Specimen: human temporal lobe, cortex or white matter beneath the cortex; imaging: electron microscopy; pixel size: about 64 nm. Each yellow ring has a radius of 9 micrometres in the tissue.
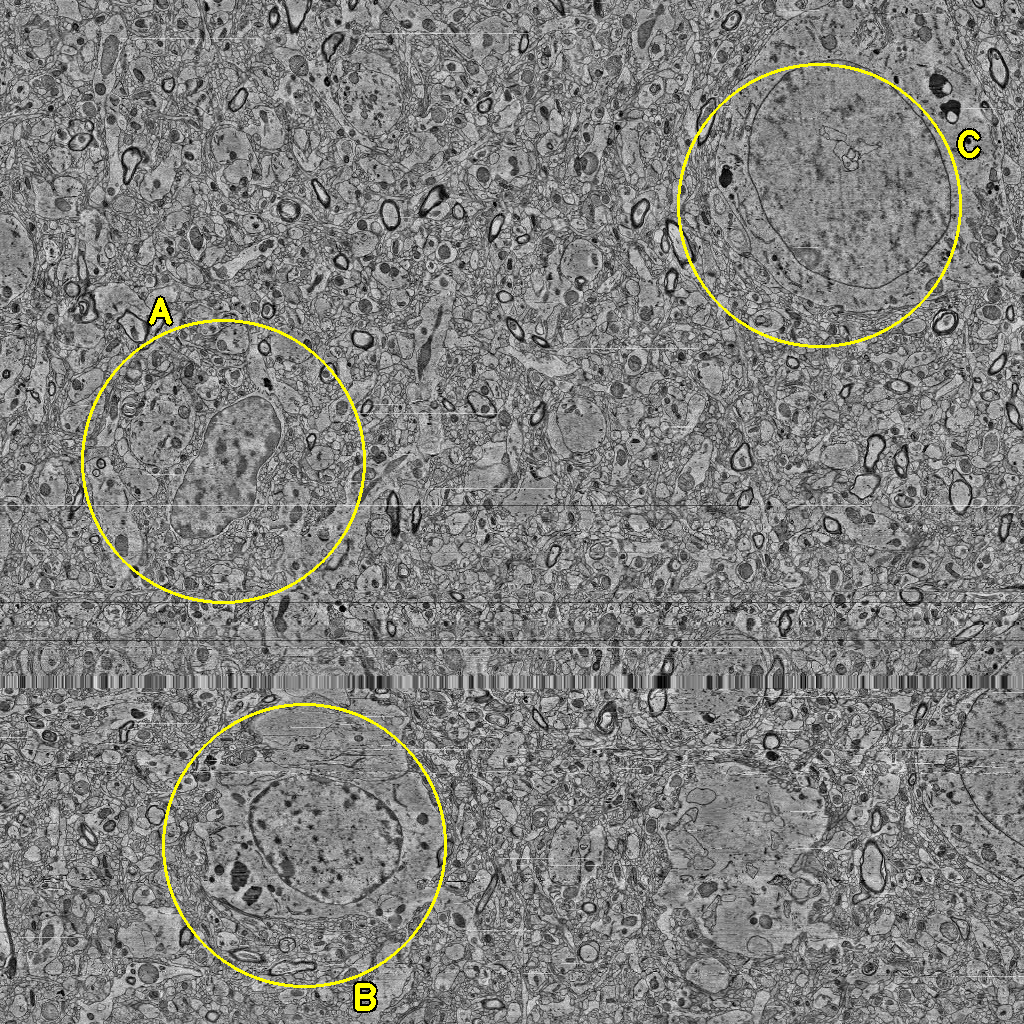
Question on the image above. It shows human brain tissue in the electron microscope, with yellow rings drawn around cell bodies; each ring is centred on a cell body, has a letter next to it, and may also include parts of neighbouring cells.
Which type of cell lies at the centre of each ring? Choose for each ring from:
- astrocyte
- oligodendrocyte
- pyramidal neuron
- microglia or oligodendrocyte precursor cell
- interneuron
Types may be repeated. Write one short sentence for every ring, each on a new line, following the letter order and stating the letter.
Ring A has been drawn around a microglial cell or oligodendrocyte precursor cell.
Ring B has been drawn around an astrocyte.
Ring C has been drawn around a pyramidal neuron.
